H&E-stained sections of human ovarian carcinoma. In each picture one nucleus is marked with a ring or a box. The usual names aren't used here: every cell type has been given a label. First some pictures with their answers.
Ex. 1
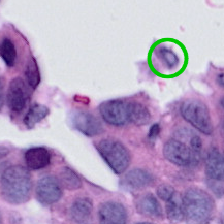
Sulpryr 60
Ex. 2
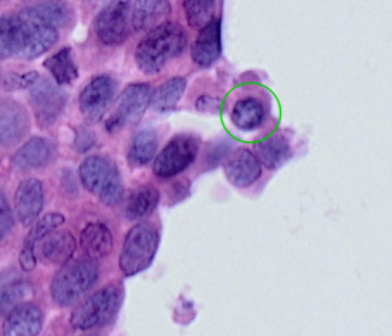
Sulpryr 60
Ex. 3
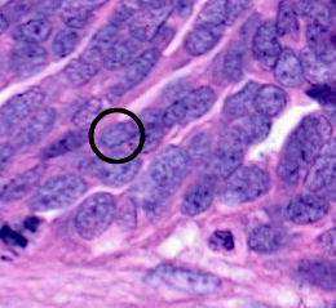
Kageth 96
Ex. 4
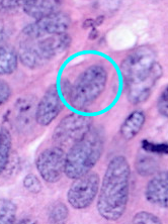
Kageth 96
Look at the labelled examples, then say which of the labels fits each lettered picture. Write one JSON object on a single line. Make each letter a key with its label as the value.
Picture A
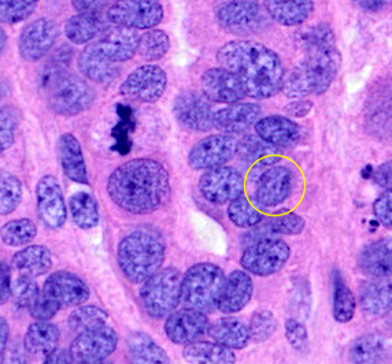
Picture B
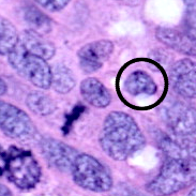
{"A": "Kageth 96", "B": "Sulpryr 60"}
